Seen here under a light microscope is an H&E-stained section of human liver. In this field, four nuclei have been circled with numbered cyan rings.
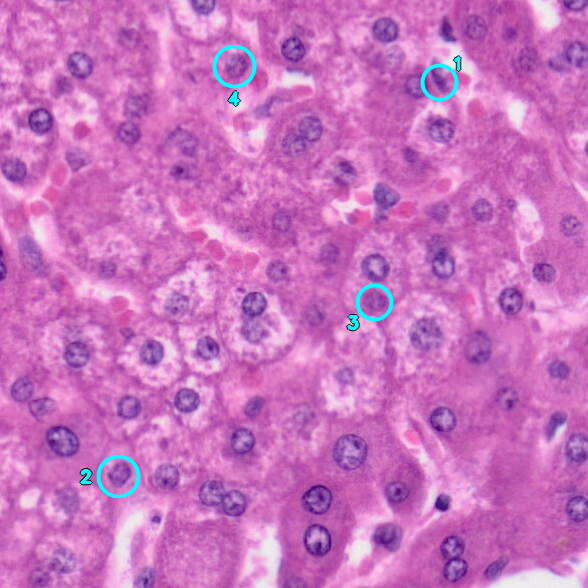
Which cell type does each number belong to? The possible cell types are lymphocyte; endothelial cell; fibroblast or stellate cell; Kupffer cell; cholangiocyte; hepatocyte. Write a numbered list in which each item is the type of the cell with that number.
1. Kupffer cell
2. hepatocyte
3. hepatocyte
4. hepatocyte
